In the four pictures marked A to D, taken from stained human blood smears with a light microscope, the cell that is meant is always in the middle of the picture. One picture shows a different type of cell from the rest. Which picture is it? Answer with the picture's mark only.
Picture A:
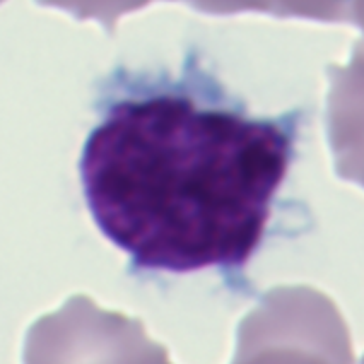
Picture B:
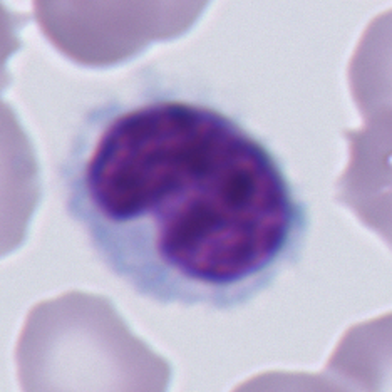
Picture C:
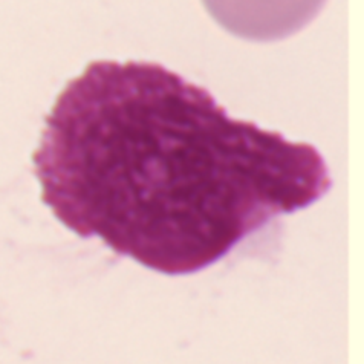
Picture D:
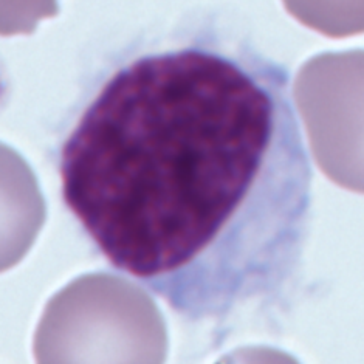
C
